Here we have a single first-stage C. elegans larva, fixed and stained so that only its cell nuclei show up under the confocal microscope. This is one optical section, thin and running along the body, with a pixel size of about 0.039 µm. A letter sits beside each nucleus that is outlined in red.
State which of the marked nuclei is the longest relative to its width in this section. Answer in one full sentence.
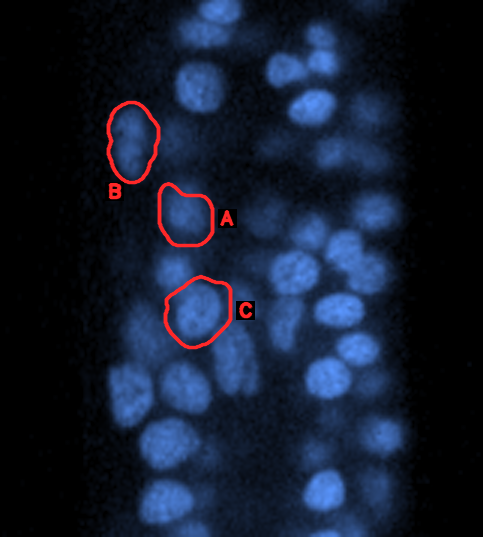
The most elongated nucleus is B.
